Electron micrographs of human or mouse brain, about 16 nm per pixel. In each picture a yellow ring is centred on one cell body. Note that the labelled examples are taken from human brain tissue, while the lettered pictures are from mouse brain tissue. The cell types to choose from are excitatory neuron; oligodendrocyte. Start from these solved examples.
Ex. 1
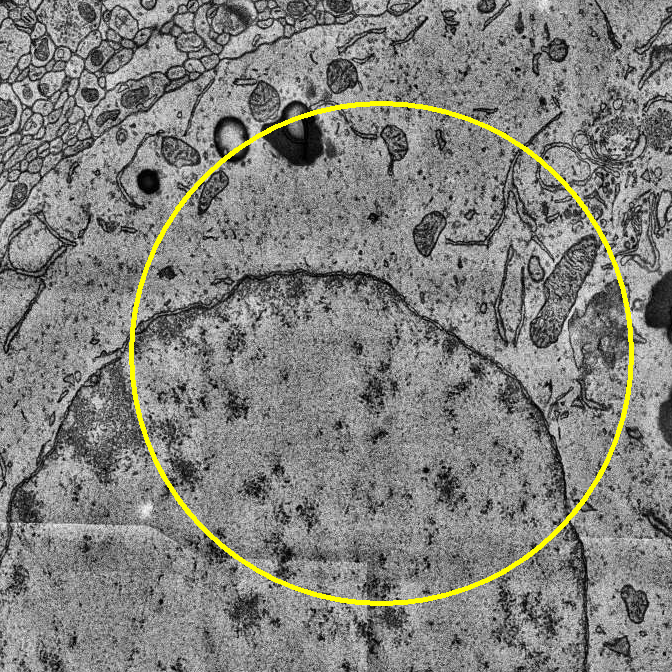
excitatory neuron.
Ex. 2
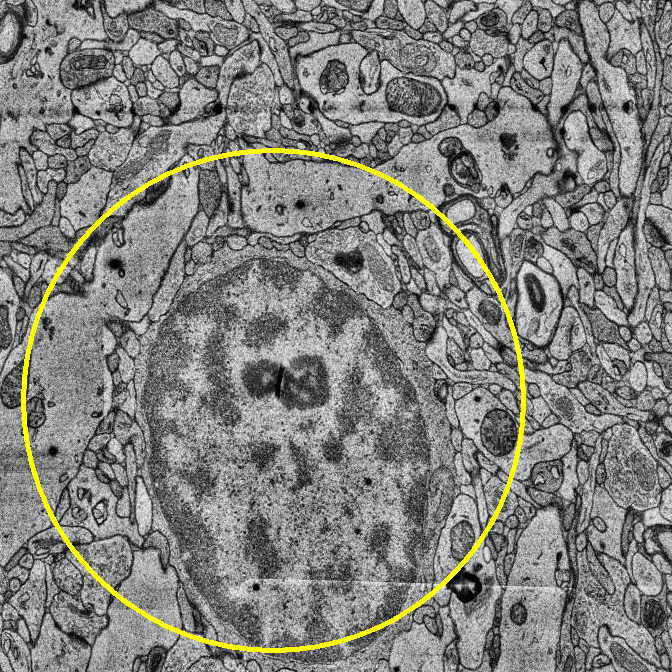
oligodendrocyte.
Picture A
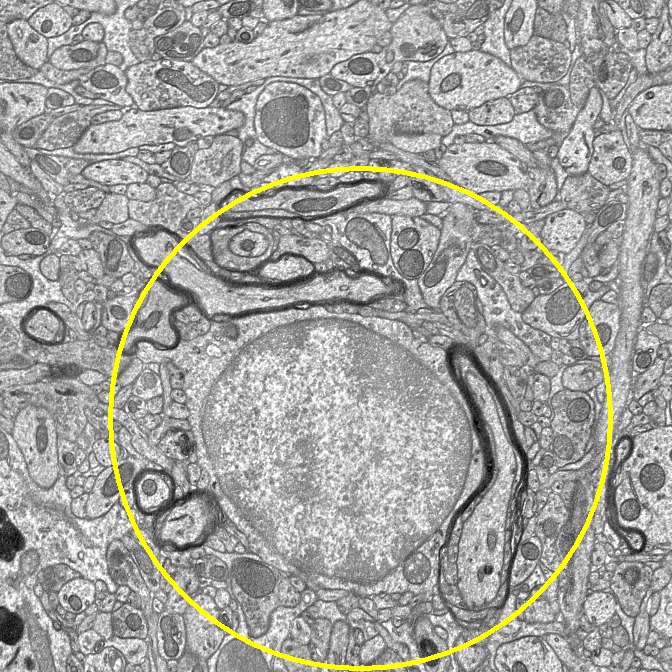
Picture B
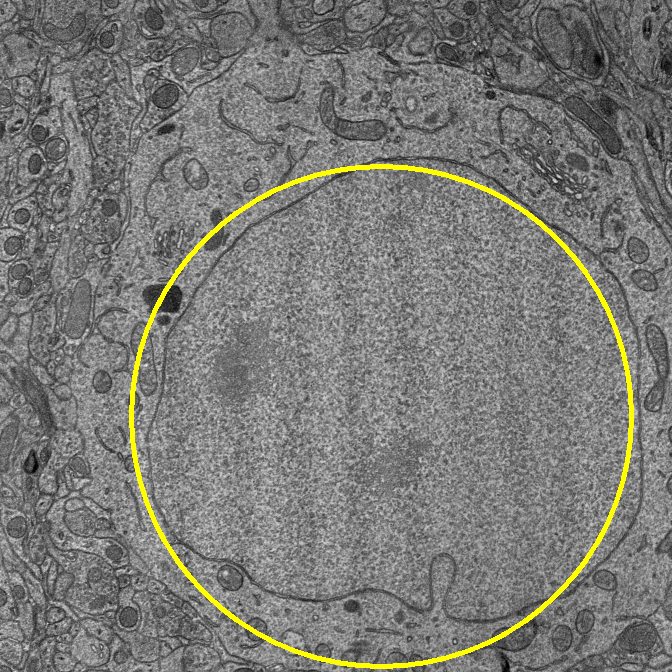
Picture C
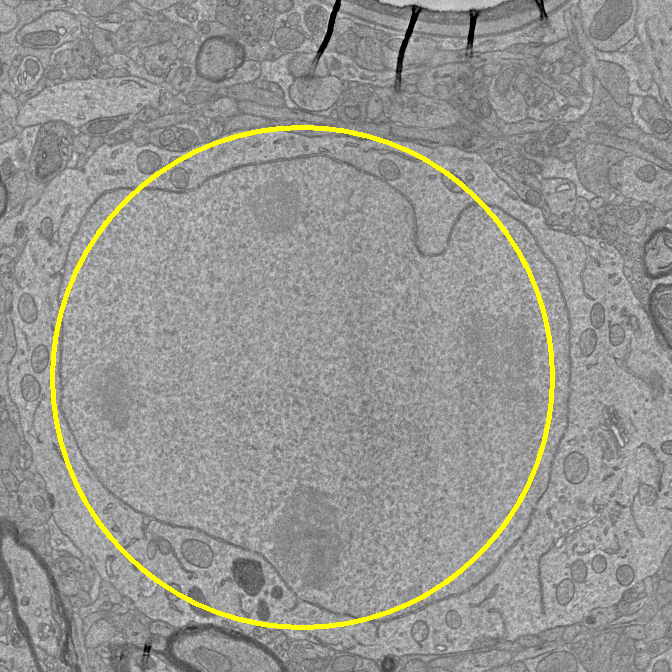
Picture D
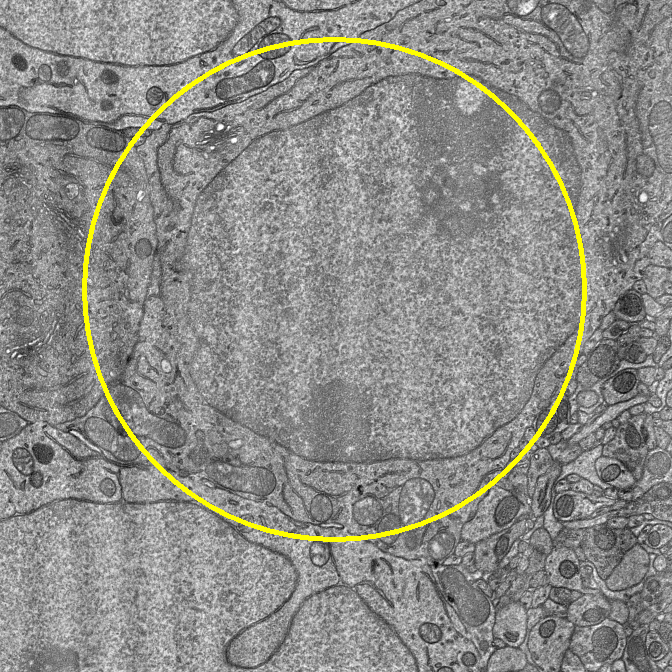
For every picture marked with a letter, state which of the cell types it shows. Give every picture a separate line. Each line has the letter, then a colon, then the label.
A: oligodendrocyte.
B: excitatory neuron.
C: excitatory neuron.
D: oligodendrocyte.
